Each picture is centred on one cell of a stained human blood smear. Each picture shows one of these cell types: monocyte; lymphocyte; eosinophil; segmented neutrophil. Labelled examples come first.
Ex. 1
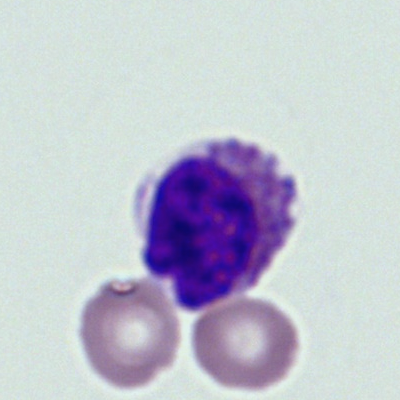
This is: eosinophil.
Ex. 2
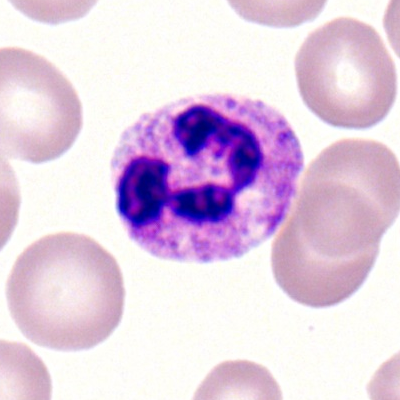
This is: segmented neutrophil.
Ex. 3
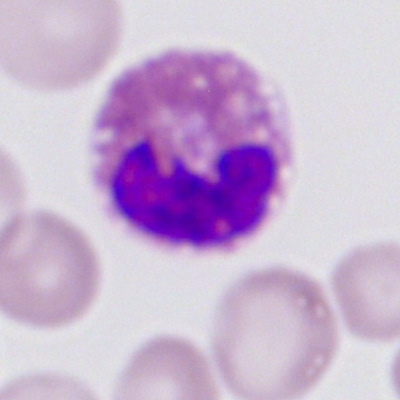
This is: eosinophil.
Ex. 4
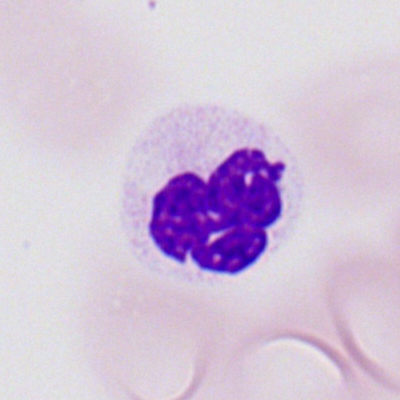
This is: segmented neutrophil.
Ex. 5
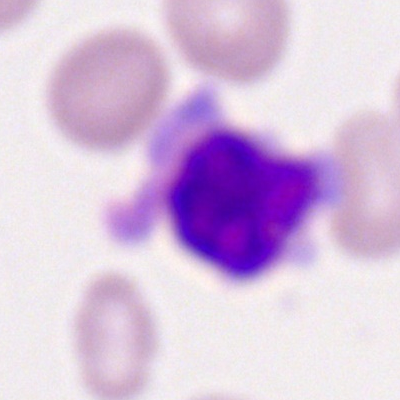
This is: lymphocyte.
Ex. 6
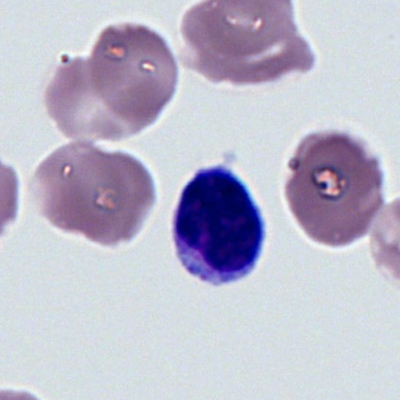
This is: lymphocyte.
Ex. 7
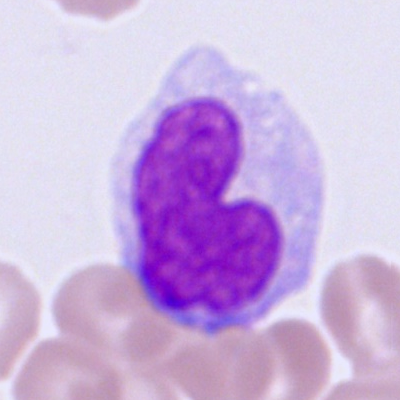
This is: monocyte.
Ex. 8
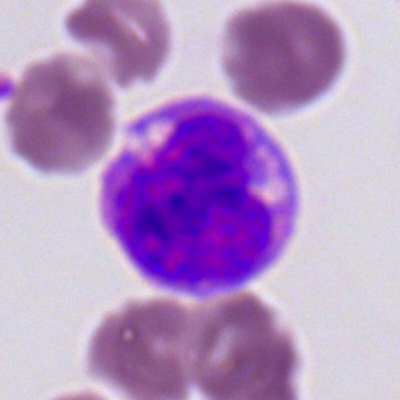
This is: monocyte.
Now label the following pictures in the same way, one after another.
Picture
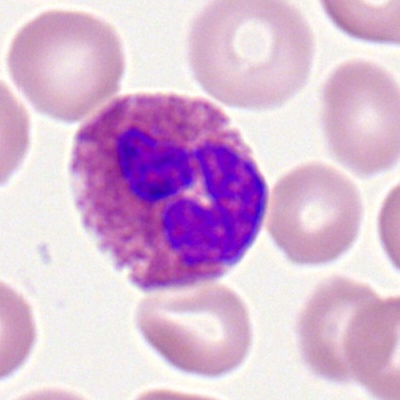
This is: eosinophil.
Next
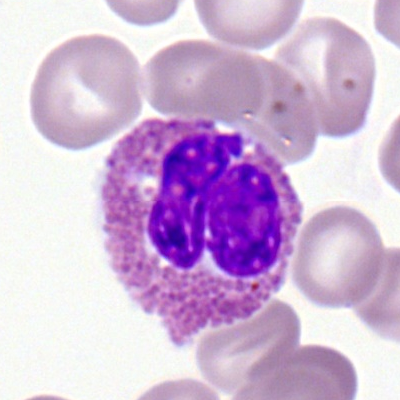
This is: eosinophil.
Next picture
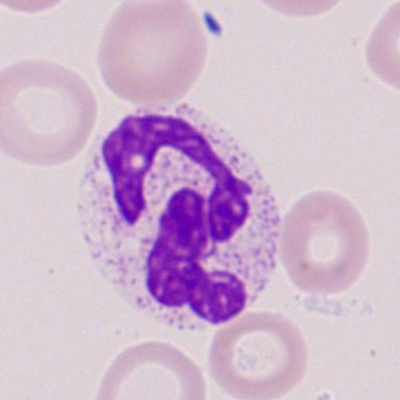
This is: segmented neutrophil.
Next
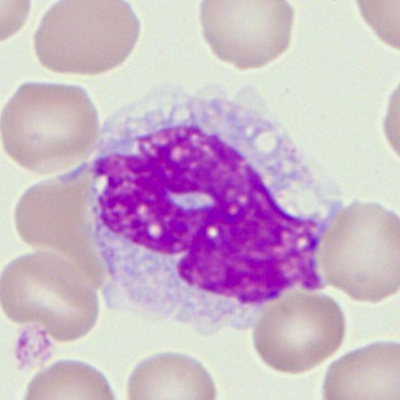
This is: monocyte.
